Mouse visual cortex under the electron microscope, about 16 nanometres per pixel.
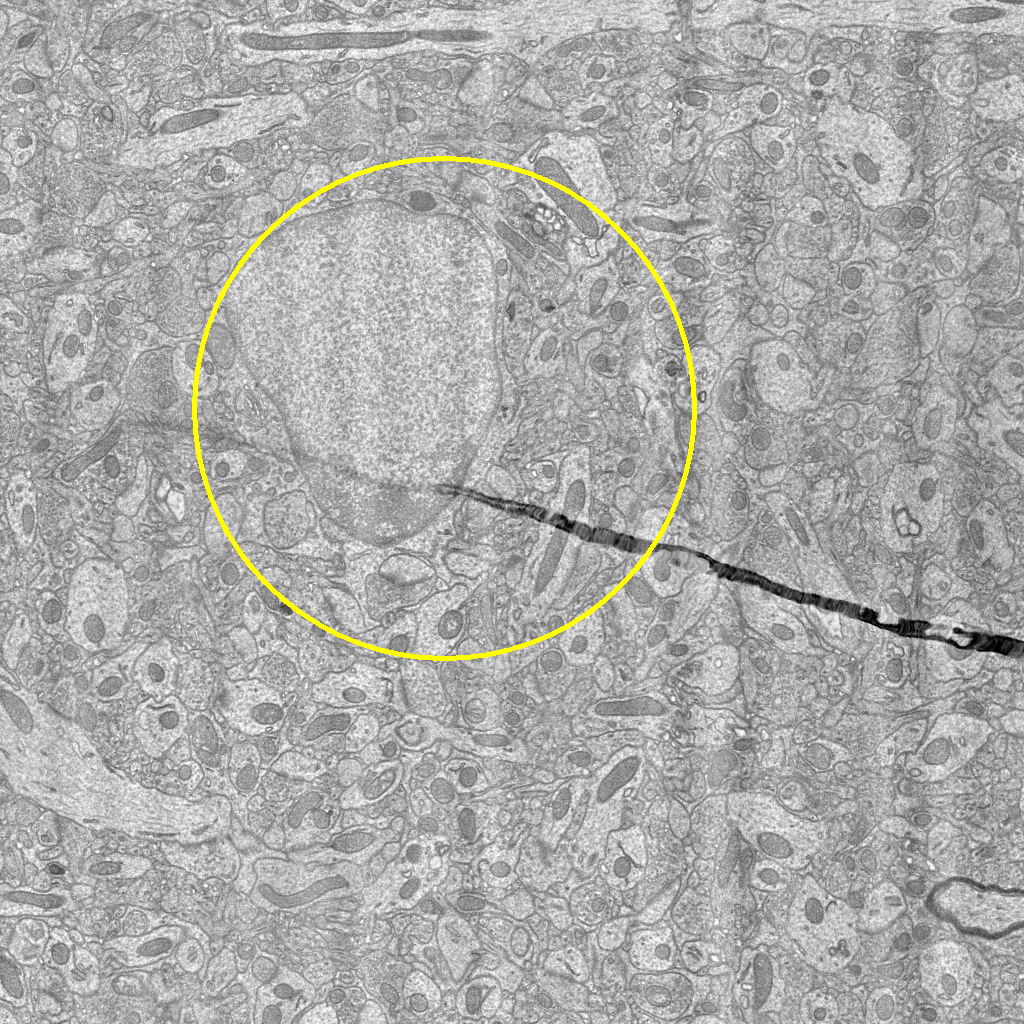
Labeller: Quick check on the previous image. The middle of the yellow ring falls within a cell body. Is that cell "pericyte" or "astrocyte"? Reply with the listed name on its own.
astrocyte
